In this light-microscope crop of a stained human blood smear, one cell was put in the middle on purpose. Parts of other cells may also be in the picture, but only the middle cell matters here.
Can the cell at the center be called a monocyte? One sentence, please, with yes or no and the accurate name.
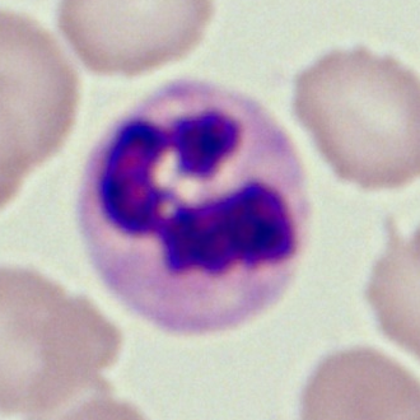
No, looking at the central cell, it is a segmented neutrophil rather than a monocyte.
